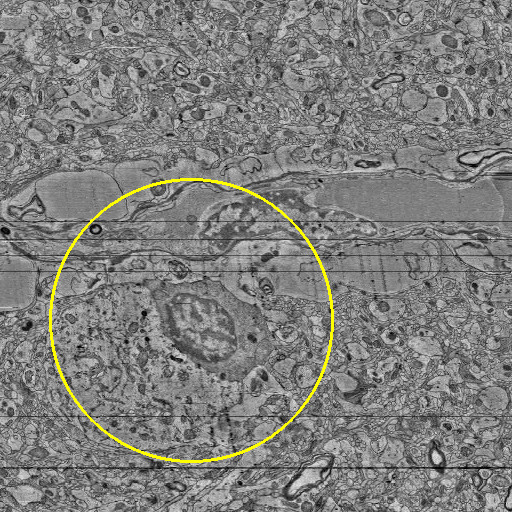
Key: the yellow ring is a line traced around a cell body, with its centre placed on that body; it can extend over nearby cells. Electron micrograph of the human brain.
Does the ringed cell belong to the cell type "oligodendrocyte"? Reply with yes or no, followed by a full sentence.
Yes, the cell at the centre of the yellow ring in the picture is of that type.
